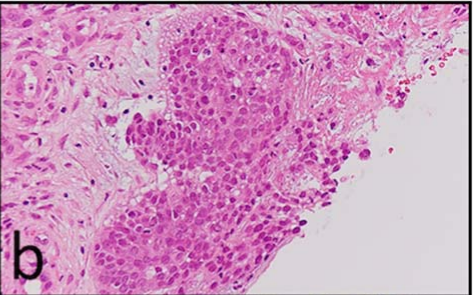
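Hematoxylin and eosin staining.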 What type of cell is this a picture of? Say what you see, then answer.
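Cells in the nests have pink cytoplasm. Nuclei are enlarged and crowded, varying in size.
Atypical cells with eosinophilic cytoplasm.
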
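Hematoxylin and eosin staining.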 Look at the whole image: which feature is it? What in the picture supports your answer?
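Rounded, compact clusters of tightly packed cells without lumens. The clusters are surrounded by looser spindle-cell stroma. The answer: solid nest pattern.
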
